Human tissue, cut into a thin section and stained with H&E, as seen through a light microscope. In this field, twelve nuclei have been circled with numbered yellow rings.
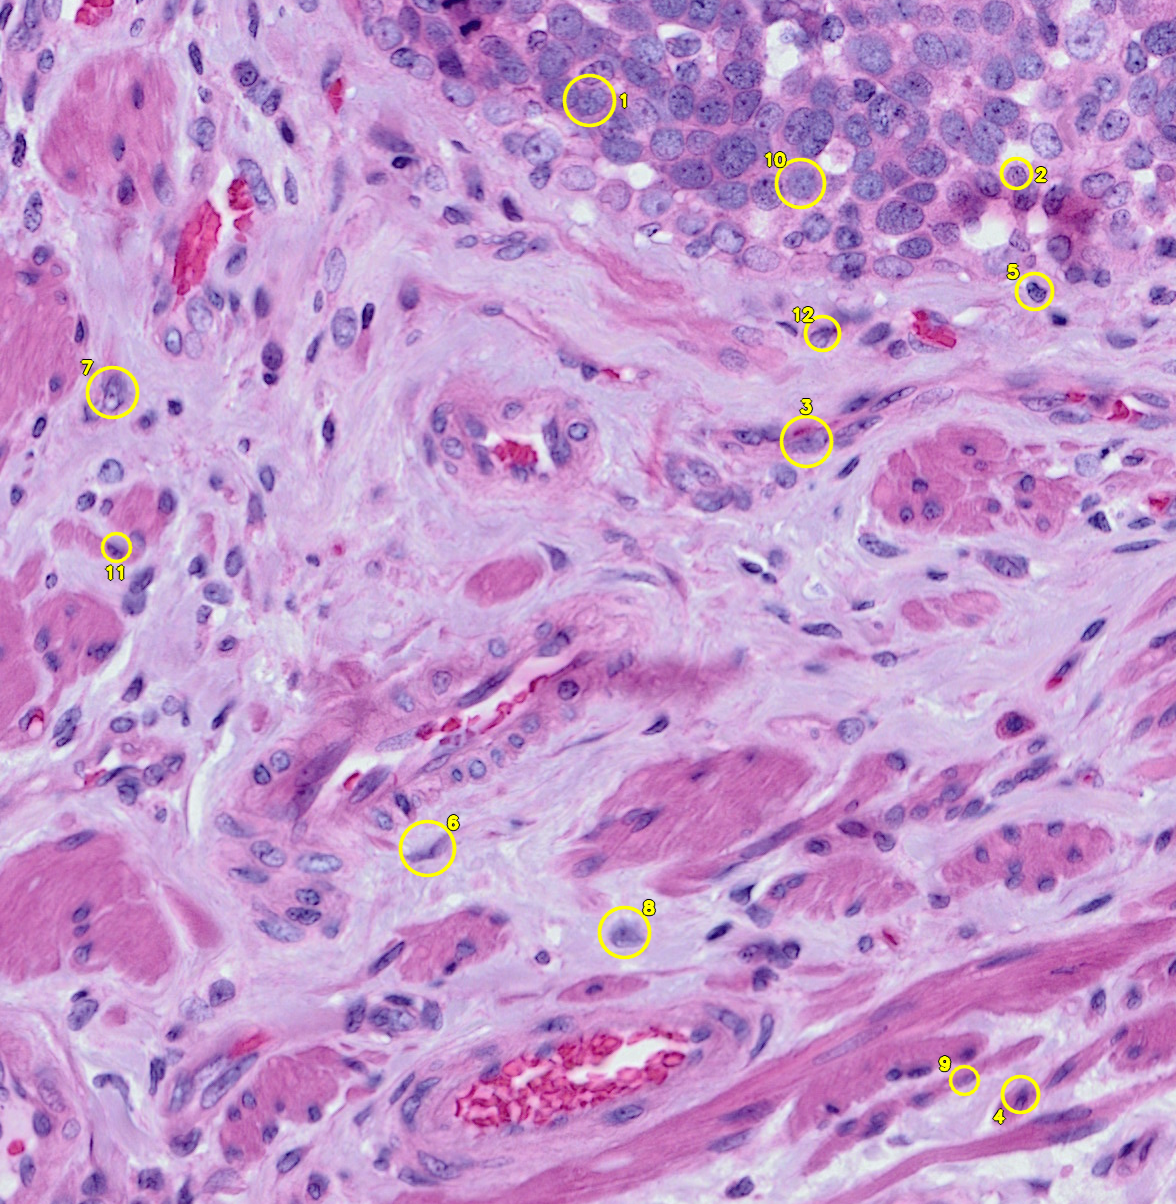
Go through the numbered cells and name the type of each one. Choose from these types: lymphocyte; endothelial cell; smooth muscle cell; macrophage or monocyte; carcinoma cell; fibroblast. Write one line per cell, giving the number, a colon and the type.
1: carcinoma cell
2: macrophage or monocyte
3: endothelial cell
4: smooth muscle cell
5: lymphocyte
6: fibroblast
7: endothelial cell
8: fibroblast
9: smooth muscle cell
10: carcinoma cell
11: smooth muscle cell
12: endothelial cell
